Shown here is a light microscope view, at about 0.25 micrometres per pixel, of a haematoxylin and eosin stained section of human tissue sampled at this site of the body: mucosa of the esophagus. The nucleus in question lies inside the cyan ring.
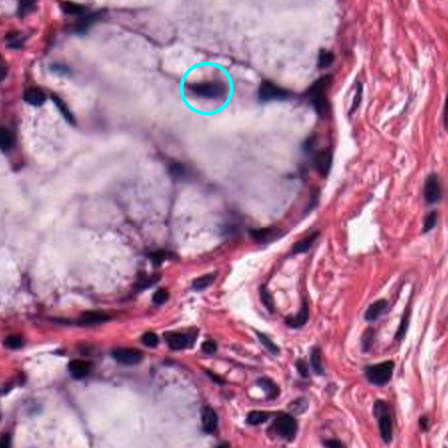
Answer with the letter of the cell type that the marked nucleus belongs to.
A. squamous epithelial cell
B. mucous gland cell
B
